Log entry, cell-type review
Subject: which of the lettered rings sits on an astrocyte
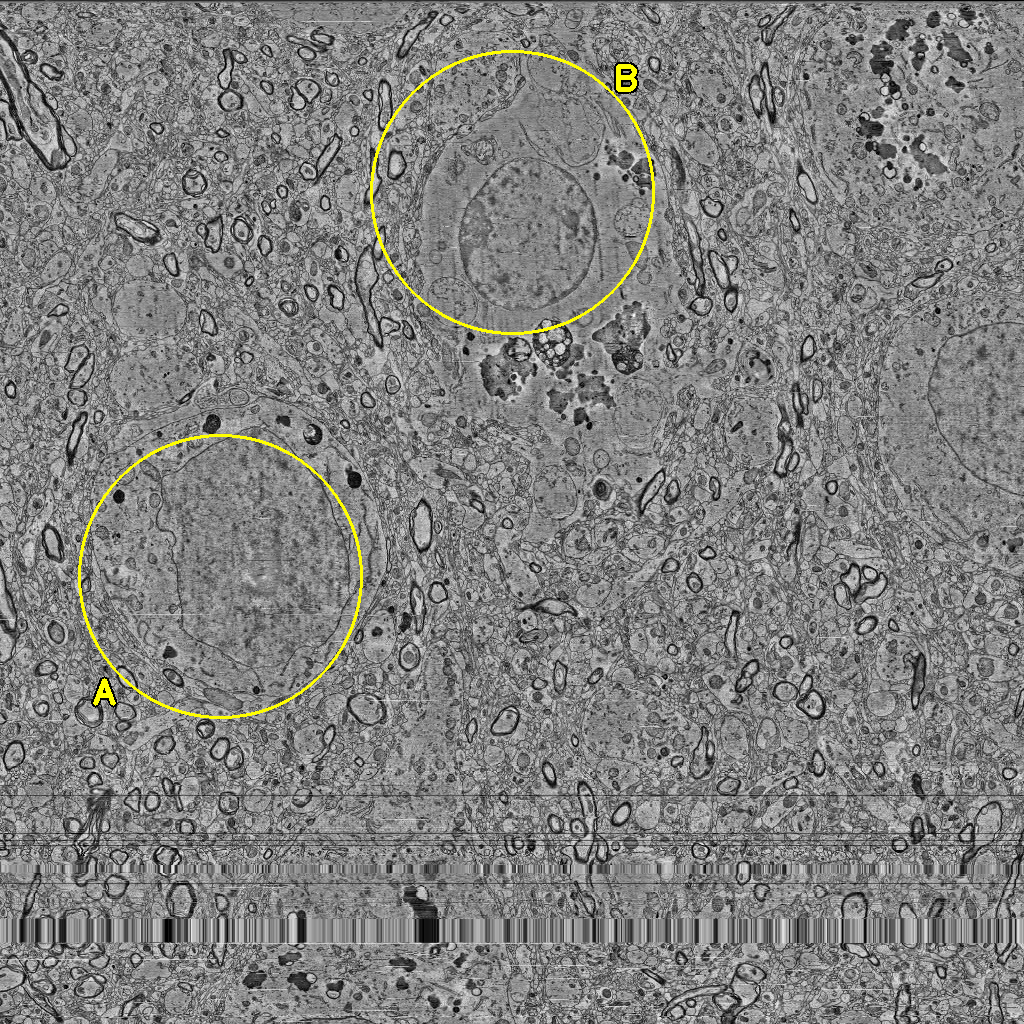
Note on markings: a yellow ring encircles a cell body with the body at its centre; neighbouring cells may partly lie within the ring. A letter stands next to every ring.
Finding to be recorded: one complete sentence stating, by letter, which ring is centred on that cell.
The cell sits at the centre of ring B.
